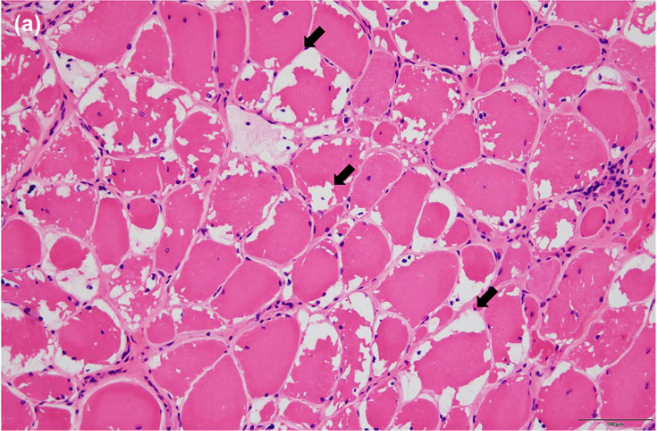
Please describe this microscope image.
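Skeletal muscle fibers cut in cross section stain pink, with small dark blue nuclei at their edges and thin pale connective tissue between them. The fibers vary markedly in size, large rounded ones lying beside small ones. Many fibers contain clear, ragged-edged empty spaces lying just under their borders. These are irregular vacuoles beneath the fiber membrane, a vacuolar change in the muscle.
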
